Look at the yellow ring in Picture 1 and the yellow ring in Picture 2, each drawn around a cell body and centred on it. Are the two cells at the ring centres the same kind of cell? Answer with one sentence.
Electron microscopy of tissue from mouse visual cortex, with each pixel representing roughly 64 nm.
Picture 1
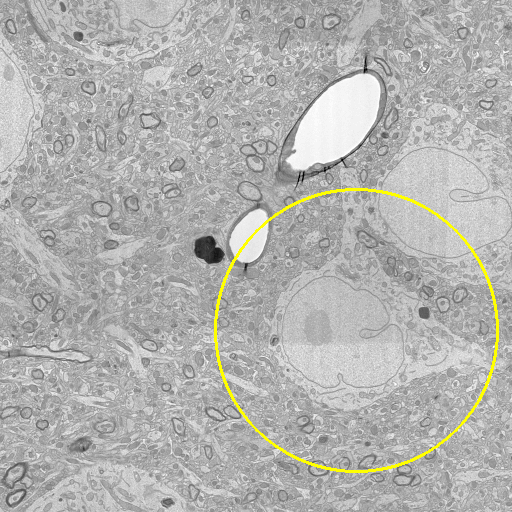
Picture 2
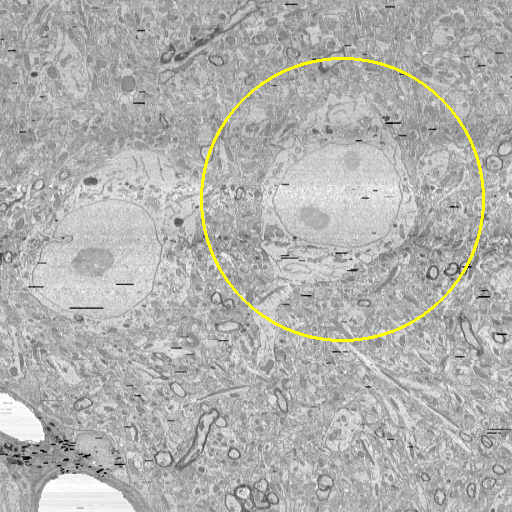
Yes, both are the same kind of cell.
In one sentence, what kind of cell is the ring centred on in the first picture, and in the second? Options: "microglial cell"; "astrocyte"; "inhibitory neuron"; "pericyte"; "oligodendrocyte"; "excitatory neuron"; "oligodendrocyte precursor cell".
The first and the second cell are each an excitatory neuron.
